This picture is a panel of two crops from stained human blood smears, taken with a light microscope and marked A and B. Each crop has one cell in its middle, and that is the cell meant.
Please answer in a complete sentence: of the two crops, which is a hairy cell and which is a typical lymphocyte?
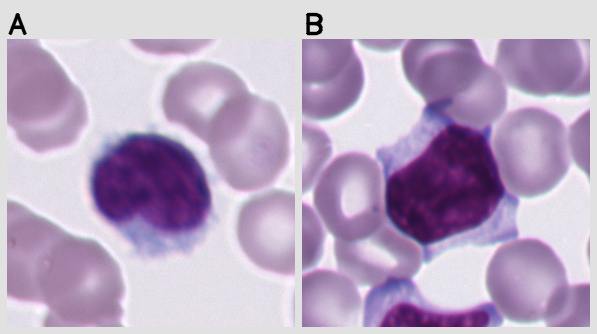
Crop A here is a hairy cell, and crop B is a typical lymphocyte.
